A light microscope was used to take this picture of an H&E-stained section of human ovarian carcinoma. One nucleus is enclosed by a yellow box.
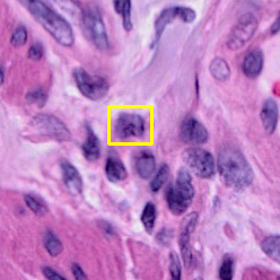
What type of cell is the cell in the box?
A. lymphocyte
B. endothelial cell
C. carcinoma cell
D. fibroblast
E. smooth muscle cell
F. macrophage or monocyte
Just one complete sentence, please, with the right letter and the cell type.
Option F stands as correct, with the cell in the box being a macrophage or monocyte.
